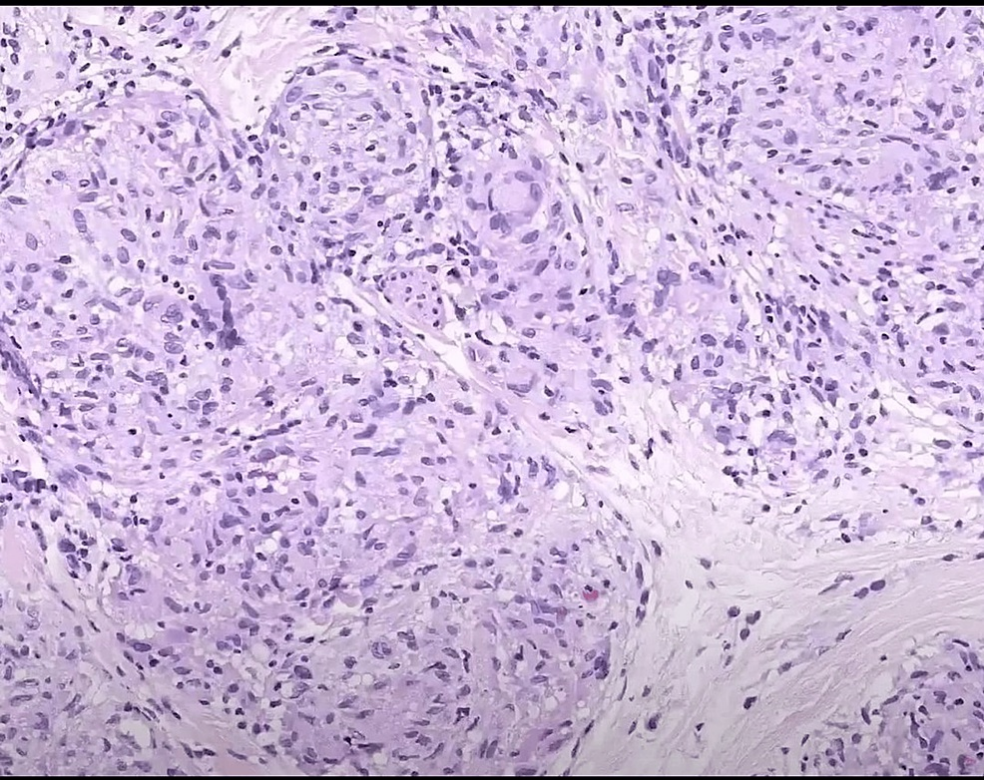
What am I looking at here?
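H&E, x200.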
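This is a granulomatous reaction, with rounded nodules made mostly of epithelioid cells and some lymphocytes. Small lymphocytes, with dark, round and compact nuclei, are mixed among them and gather mostly around the edges of the nodules. The nodules lie close together and are separated by thin bands of paler, loose fibrous tissue, with a wider pale fibrous area toward the lower right. Many small clear vacuoles are scattered through the pink cytoplasm within the nodules.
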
